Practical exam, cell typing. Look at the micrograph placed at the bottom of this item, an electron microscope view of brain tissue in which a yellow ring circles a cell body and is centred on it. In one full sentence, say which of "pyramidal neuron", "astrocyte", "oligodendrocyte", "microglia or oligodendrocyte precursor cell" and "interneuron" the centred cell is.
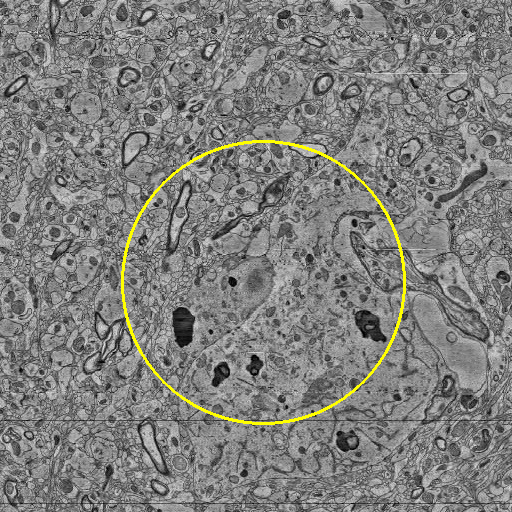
Given the options, an oligodendrocyte fits the cell whose body the yellow ring is centred on.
